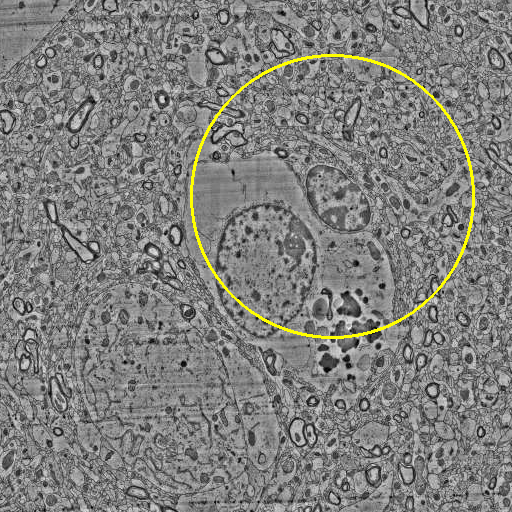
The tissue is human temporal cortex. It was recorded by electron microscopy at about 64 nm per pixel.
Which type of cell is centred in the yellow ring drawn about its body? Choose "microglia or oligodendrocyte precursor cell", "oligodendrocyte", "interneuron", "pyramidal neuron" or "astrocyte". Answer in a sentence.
The yellow ring surrounds the cell body of a microglial cell or oligodendrocyte precursor cell.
